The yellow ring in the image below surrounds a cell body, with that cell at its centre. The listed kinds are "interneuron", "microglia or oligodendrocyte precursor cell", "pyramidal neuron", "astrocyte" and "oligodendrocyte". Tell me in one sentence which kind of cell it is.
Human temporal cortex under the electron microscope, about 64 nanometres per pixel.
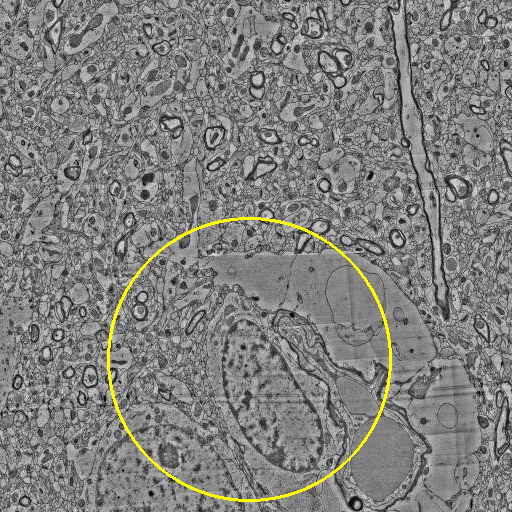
The centre of the ring holds a microglial cell or oligodendrocyte precursor cell.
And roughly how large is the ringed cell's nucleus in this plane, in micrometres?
Roughly 10 by 5 micrometers, clearly longer than it is wide in this plane.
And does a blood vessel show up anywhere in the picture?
Yes, one appears.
